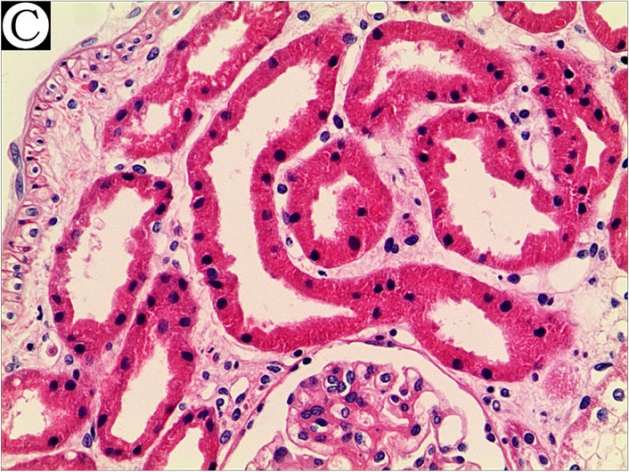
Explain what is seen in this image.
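Kidney cortex with closely packed renal tubules lined by tubular epithelial cells, and part of a glomerulus at the bottom. The tubular epithelial cells are cuboidal, with deep pink, finely granular cytoplasm and one round, dark nucleus each, mostly set near the base in a neat row. The tubules are winding, with open clear lumina whose inner border is slightly ragged. Between the tubules lies thin, pale interstitium with a few flattened nuclei. The glomerulus below shows capillary loops with scattered nuclei.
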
